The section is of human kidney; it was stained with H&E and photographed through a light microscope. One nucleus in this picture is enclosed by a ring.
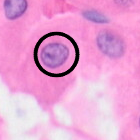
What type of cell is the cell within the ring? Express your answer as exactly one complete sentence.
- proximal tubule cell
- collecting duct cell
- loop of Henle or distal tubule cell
It is as a proximal tubule cell that the cell within the ring is recorded.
